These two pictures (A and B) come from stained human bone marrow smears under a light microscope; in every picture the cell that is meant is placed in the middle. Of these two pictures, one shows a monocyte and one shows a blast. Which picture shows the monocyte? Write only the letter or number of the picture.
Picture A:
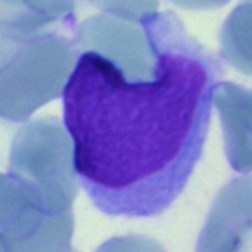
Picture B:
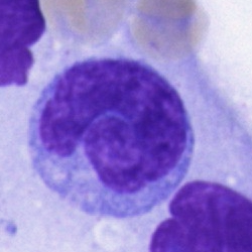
B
